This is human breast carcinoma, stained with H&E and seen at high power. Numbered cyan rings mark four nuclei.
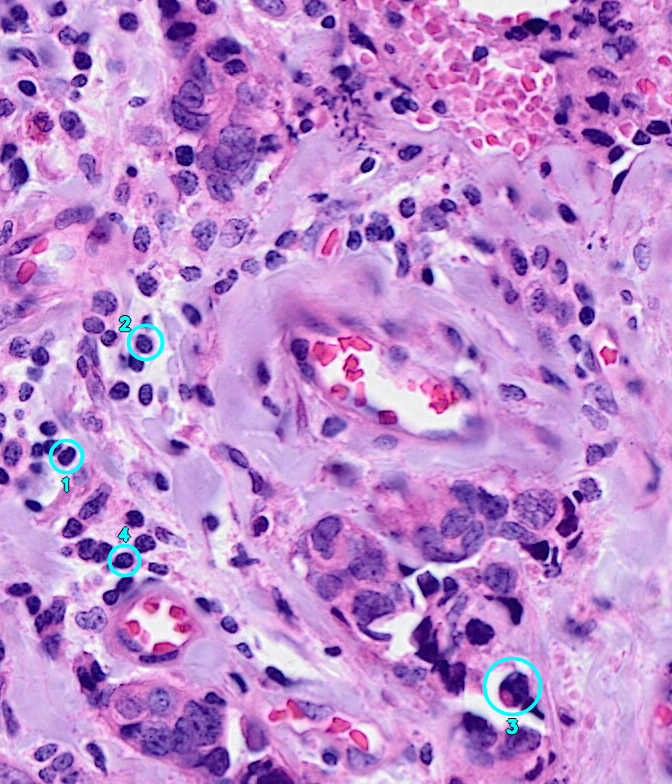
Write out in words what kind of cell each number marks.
Cell 1 is a lymphocyte, cell 2 is a lymphocyte, cell 3 is a carcinoma cell and cell 4 is a lymphocyte.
